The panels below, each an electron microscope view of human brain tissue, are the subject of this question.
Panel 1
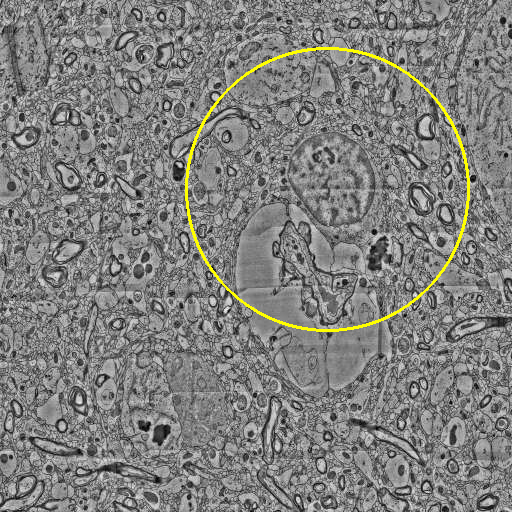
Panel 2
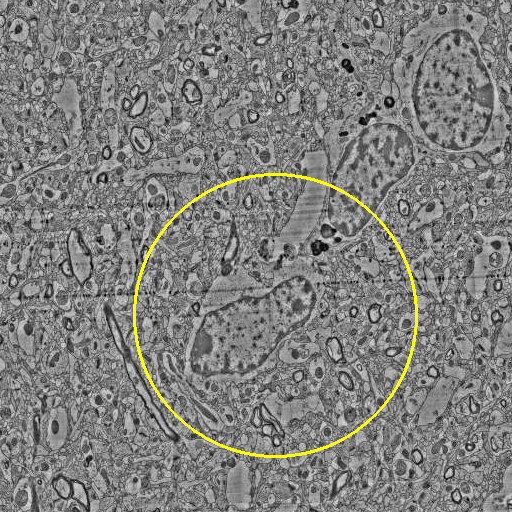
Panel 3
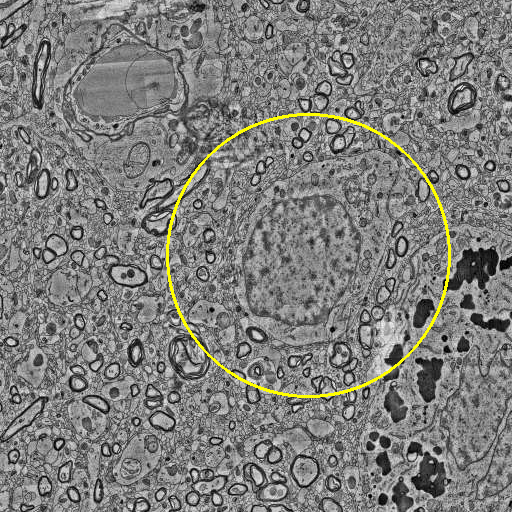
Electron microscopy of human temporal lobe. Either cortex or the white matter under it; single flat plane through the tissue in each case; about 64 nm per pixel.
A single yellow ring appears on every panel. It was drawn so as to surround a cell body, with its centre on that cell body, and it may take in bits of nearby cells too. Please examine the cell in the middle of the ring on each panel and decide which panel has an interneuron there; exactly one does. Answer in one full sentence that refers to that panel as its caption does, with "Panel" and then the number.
Panel 3 is where the ring's central cell answers the question.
